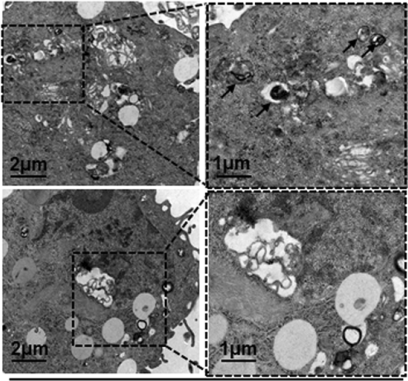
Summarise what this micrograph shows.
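Many vacuoles look pale and empty, while some are filled with whorled membranes and debris. In the upper enlargement, arrows mark small round vesicles with dark, dense contents lying in the cytoplasm. In the lower pair, a large vacuole holding tangled membrane fragments lies next to several pale round vacuoles.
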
